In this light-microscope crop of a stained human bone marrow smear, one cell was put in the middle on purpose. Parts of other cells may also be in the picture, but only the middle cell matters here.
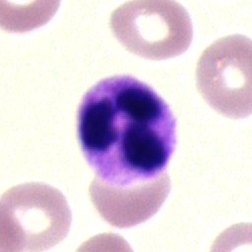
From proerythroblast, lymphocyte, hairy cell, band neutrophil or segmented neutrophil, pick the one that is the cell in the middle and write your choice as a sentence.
The crop's centre is taken up by a segmented neutrophil.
